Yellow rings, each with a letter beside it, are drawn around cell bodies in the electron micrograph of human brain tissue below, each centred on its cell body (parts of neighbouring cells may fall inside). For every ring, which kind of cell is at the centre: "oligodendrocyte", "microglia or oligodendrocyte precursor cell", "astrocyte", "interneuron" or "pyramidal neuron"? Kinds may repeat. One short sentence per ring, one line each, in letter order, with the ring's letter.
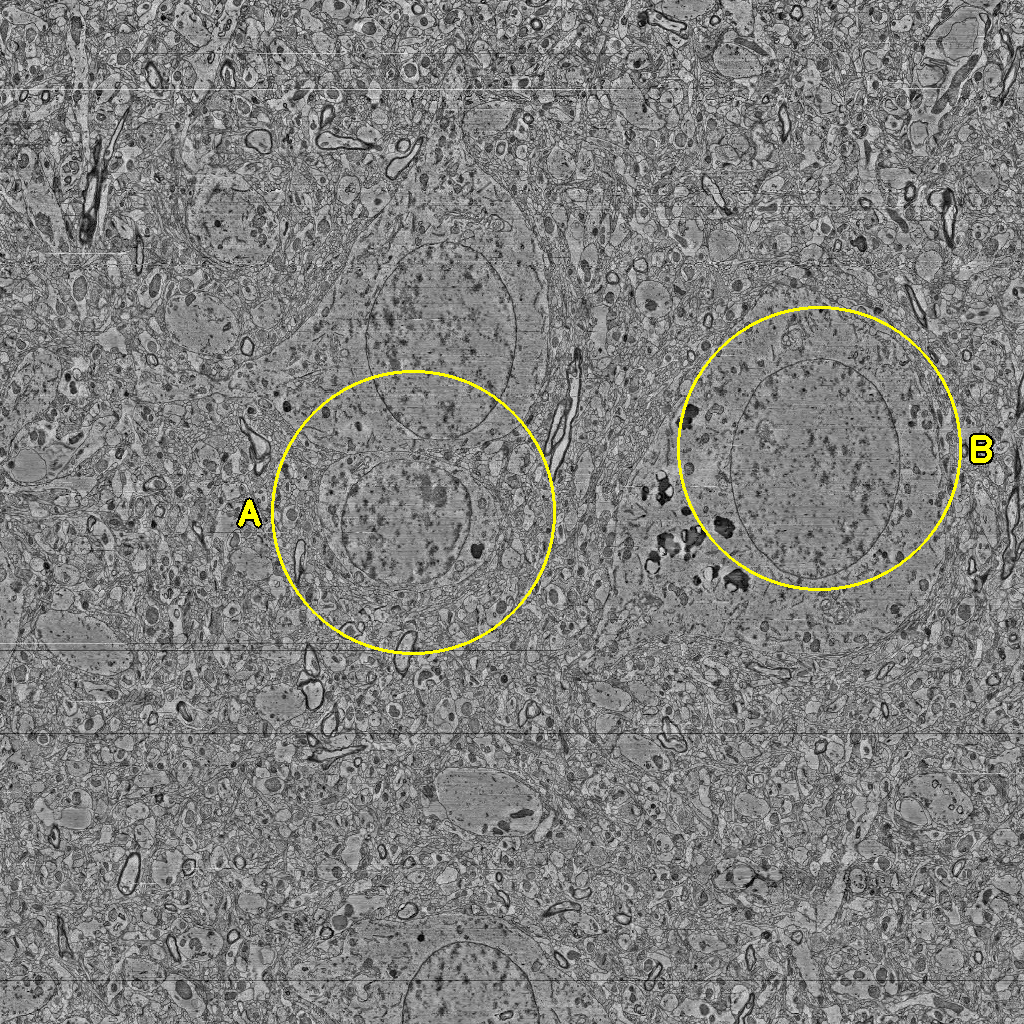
The cell in ring A is an interneuron.
The cell in ring B is a pyramidal neuron.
